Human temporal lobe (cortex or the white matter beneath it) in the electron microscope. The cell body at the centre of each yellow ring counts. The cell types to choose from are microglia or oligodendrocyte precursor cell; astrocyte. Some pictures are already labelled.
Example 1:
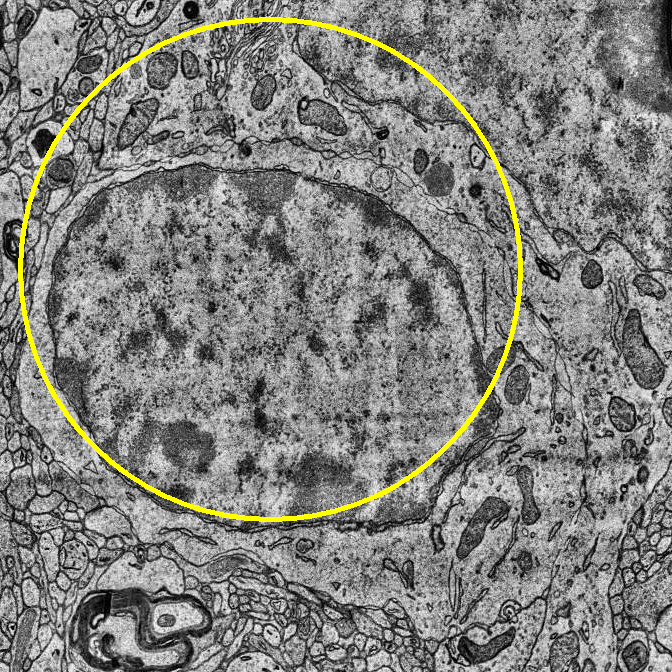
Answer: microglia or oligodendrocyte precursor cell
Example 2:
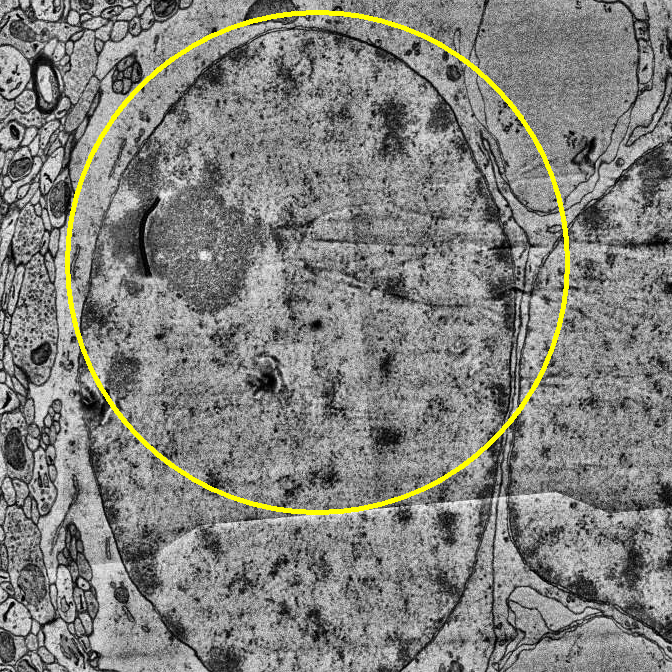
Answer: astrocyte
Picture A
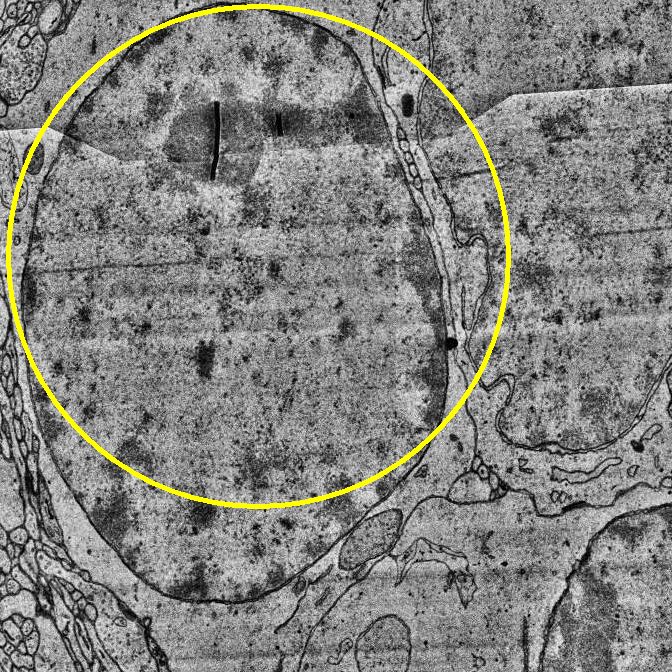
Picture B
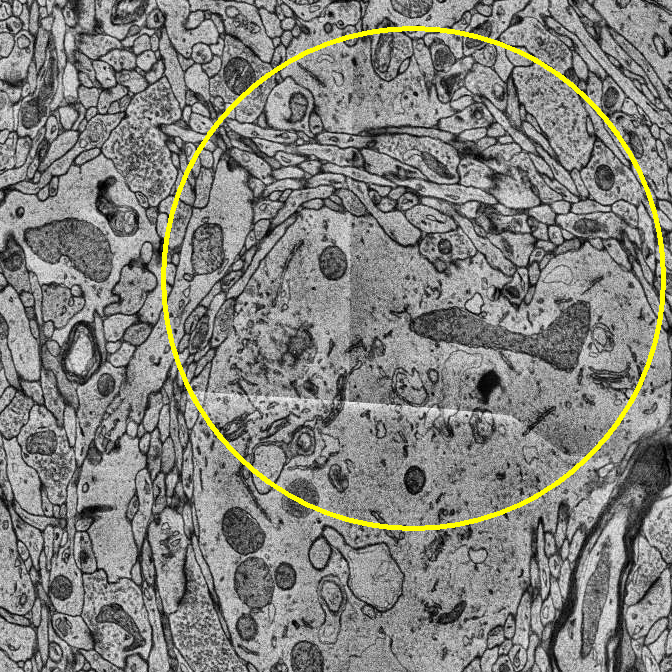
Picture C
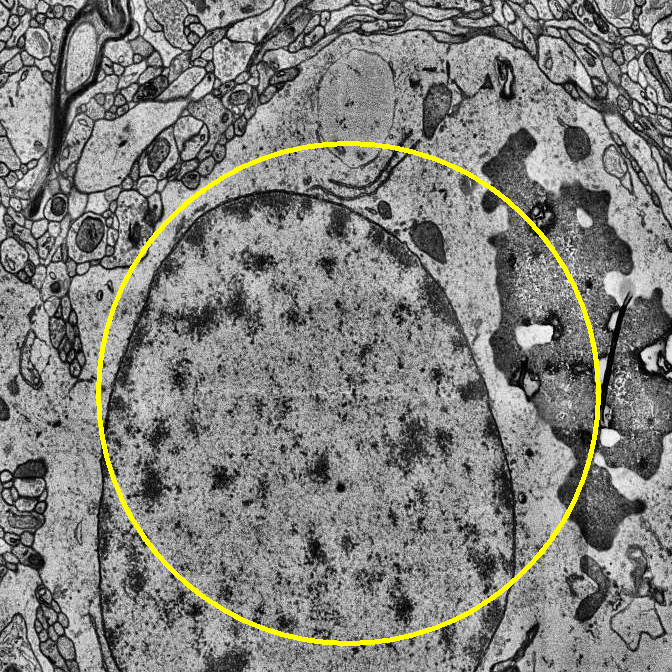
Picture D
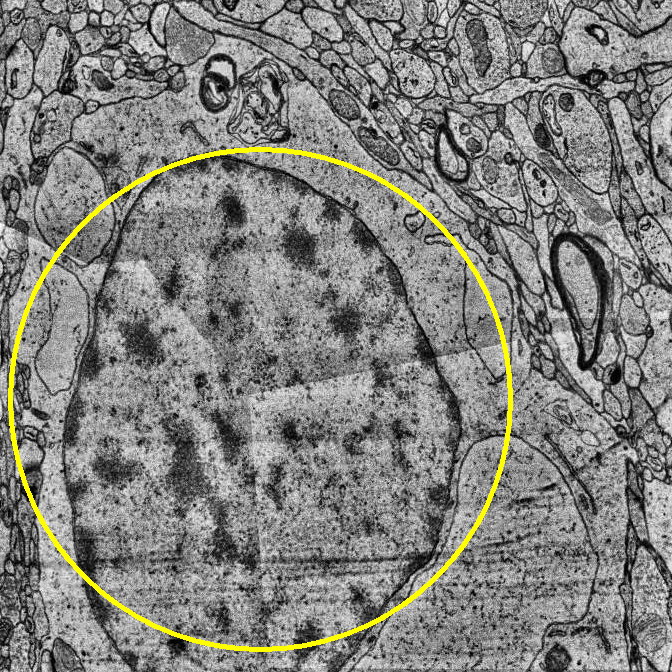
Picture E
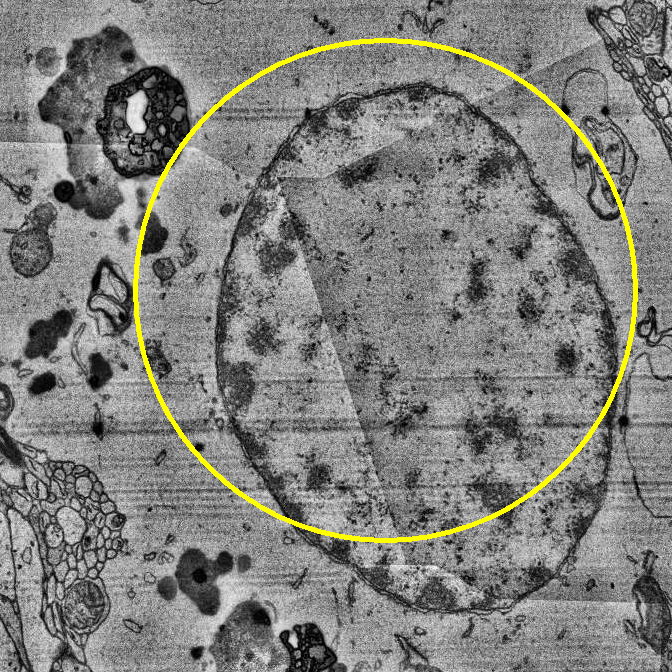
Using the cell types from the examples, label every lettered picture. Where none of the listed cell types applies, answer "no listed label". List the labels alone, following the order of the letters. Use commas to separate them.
astrocyte, astrocyte, astrocyte, astrocyte, astrocyte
